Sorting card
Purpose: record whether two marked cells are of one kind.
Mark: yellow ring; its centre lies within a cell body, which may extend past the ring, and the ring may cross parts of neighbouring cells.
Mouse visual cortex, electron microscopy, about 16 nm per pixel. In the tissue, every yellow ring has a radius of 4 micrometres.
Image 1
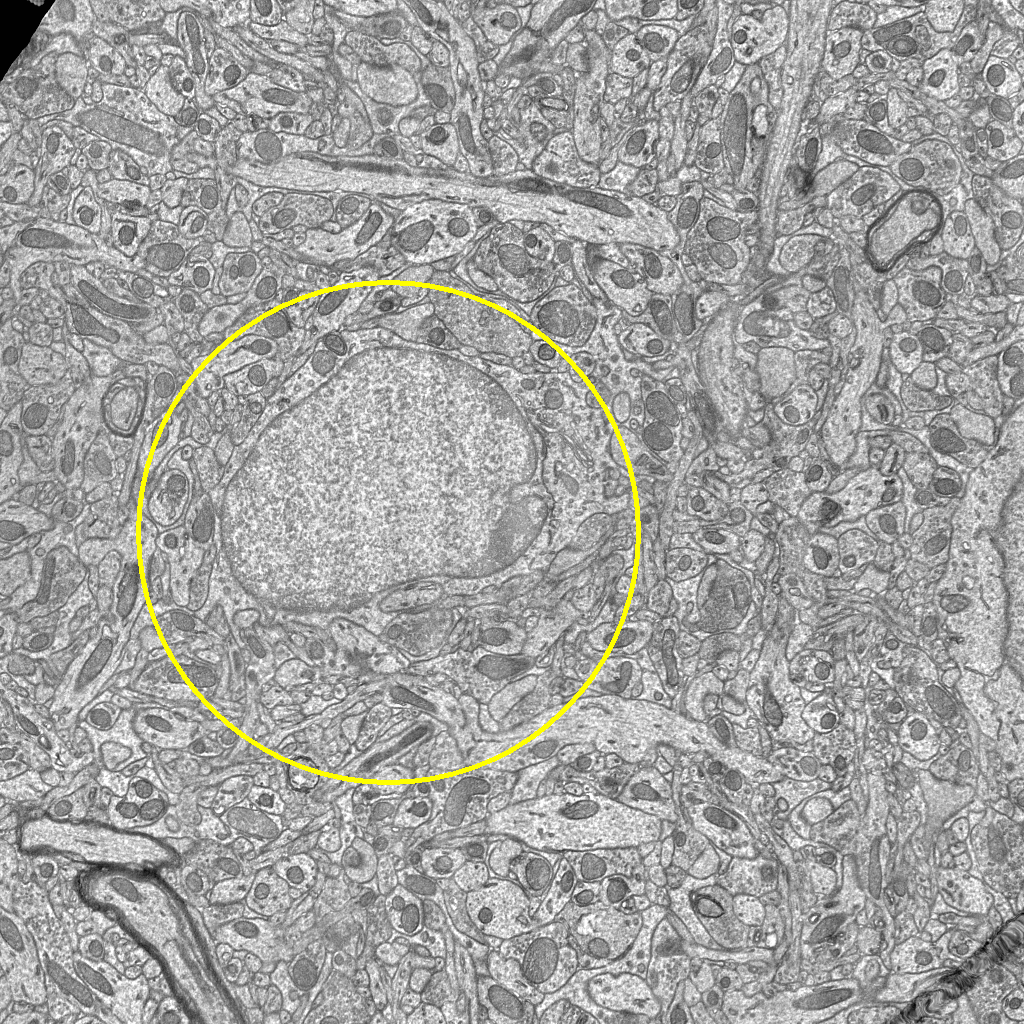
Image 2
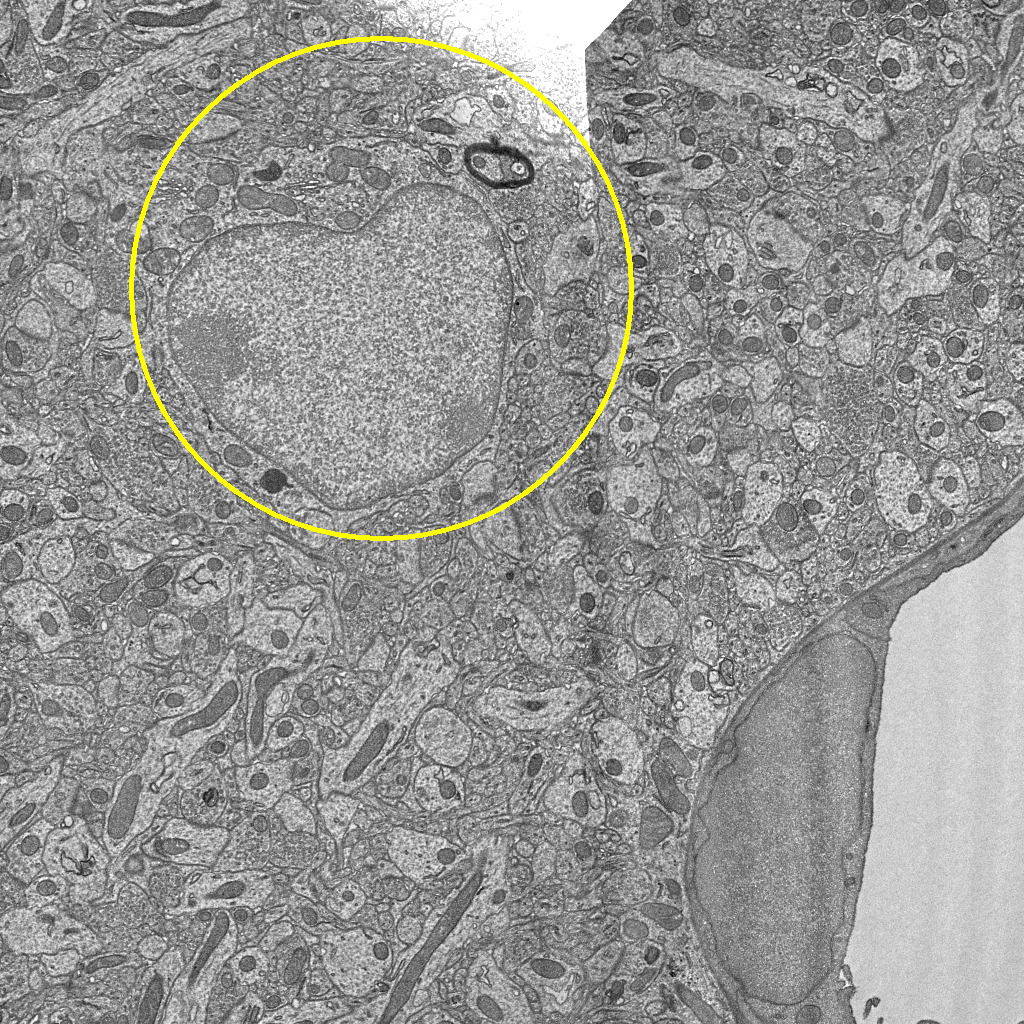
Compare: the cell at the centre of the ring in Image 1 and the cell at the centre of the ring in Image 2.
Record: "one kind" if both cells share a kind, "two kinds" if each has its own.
one kind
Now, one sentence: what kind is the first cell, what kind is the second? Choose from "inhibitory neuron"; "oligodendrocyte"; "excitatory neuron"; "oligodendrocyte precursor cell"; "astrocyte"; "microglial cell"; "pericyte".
The second cell is an astrocyte, just as the first is.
